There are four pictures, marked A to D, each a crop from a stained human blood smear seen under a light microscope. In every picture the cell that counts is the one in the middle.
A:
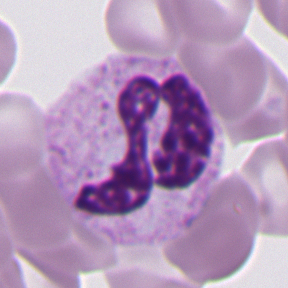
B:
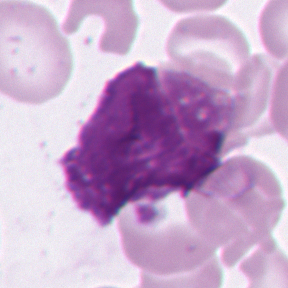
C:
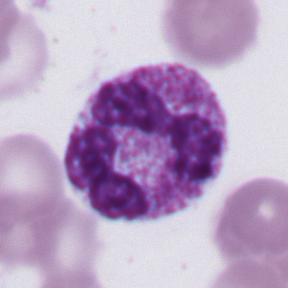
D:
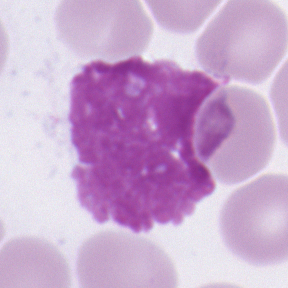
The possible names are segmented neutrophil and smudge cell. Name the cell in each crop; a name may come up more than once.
A: segmented neutrophil
B: smudge cell
C: segmented neutrophil
D: smudge cell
